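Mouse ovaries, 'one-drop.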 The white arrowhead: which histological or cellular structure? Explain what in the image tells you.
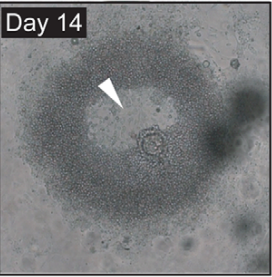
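The arrowhead points into a clear, cell-free cavity. The cavity is encircled by a thick dark ring of cells. A small round body lies at the edge of the cavity. On this evidence: antrum.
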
